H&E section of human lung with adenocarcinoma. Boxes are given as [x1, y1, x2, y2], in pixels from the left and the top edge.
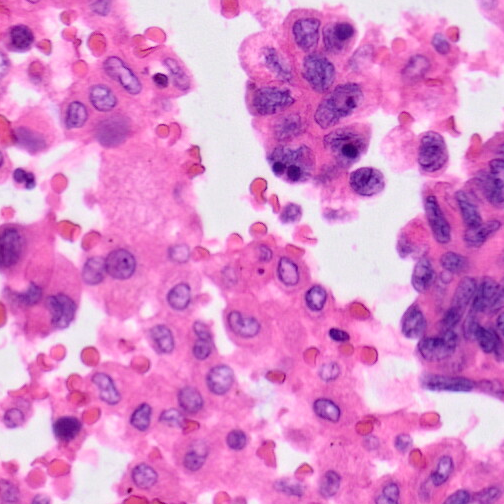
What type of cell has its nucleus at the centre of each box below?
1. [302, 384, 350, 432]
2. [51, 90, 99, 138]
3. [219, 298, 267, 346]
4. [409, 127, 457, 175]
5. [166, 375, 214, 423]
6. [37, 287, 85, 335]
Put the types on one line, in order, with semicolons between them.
macrophage or monocyte; macrophage or monocyte; macrophage or monocyte; carcinoma cell; macrophage or monocyte; carcinoma cell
